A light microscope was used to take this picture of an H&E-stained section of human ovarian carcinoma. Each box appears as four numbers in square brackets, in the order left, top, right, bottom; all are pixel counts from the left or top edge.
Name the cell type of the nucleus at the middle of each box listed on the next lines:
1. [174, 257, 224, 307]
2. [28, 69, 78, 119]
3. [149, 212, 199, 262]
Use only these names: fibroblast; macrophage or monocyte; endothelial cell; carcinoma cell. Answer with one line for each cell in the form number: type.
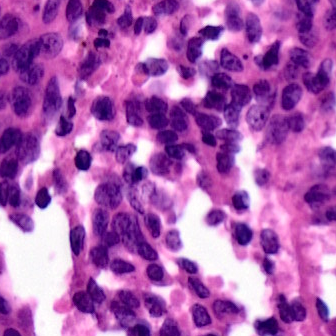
1: macrophage or monocyte
2: carcinoma cell
3: carcinoma cell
